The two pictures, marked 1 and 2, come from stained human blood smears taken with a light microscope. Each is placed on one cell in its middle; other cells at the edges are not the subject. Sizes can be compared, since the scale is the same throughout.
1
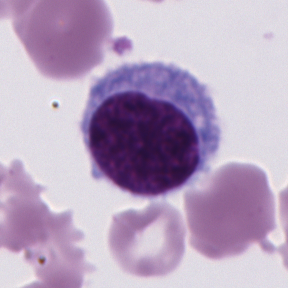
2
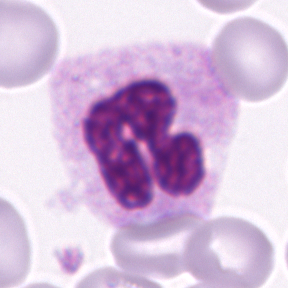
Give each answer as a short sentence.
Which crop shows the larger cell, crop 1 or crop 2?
The cell in crop 2 is larger, with about 2 times the area of the one in crop 1.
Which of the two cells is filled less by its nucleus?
Of the two, the nucleus in crop 2 leaves more room for cytoplasm.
